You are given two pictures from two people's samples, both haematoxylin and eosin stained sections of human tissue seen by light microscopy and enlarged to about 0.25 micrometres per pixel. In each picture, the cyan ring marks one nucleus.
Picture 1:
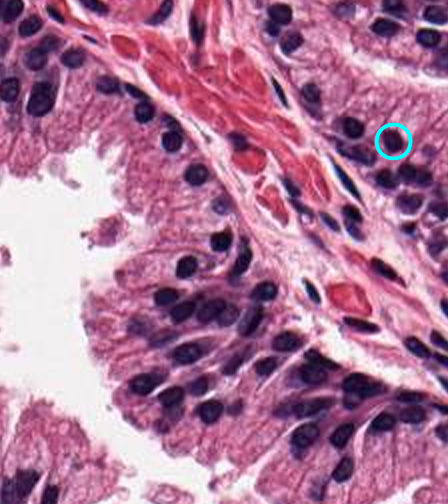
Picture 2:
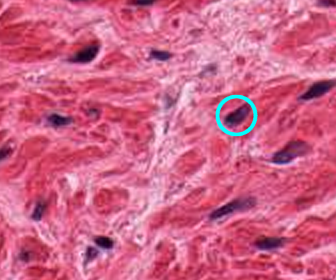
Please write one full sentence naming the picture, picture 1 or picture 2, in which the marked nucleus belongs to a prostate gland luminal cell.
Of the two marked nuclei, the one in picture 1 belongs to a prostate gland luminal cell.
